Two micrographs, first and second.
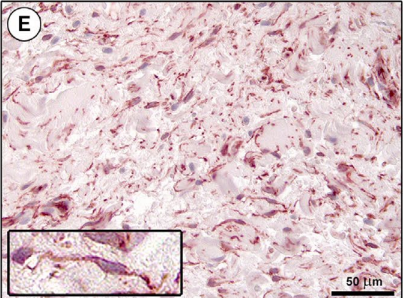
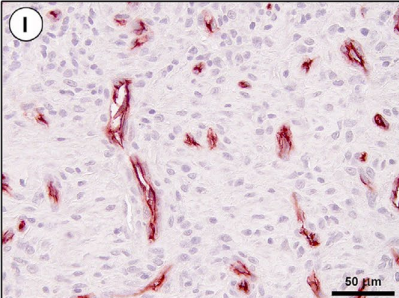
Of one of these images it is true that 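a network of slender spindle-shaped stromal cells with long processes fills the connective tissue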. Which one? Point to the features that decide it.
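Second image: brown stain is limited to vessel walls; the cells between vessels are unstained. First image: brown-stained thin cells and processes run throughout the tissue between vessels.
Answer: the first image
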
